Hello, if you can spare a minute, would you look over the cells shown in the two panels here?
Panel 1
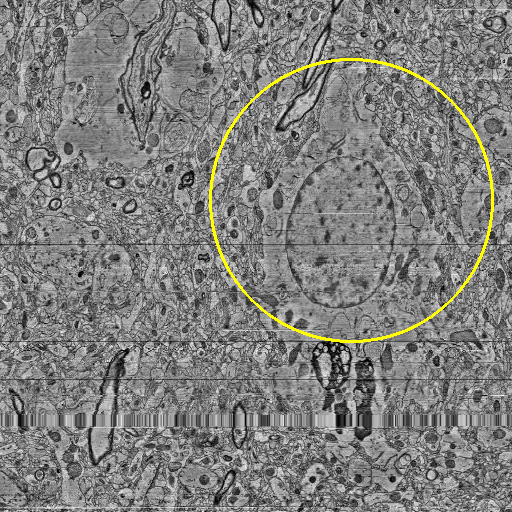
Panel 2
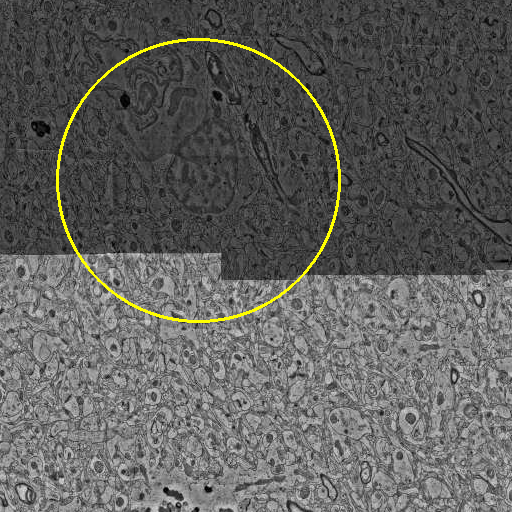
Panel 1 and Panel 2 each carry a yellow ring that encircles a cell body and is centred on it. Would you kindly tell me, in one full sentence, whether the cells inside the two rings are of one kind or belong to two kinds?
The cells at the centres of the rings in Panel 1 and Panel 2 belong to two kinds.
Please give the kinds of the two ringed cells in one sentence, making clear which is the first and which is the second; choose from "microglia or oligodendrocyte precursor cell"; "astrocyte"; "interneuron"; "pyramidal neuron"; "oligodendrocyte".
In the second picture the ringed cell is an oligodendrocyte; in the first it is an astrocyte.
